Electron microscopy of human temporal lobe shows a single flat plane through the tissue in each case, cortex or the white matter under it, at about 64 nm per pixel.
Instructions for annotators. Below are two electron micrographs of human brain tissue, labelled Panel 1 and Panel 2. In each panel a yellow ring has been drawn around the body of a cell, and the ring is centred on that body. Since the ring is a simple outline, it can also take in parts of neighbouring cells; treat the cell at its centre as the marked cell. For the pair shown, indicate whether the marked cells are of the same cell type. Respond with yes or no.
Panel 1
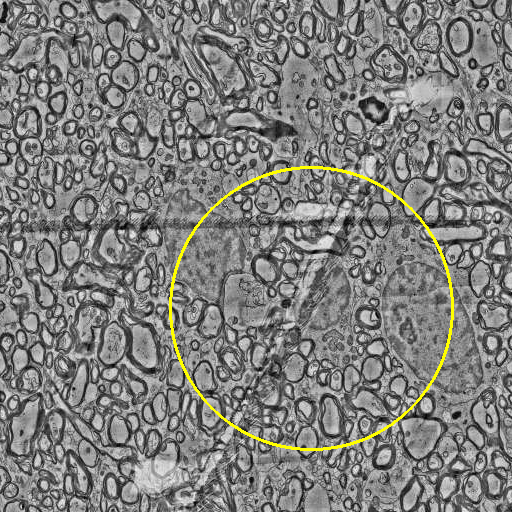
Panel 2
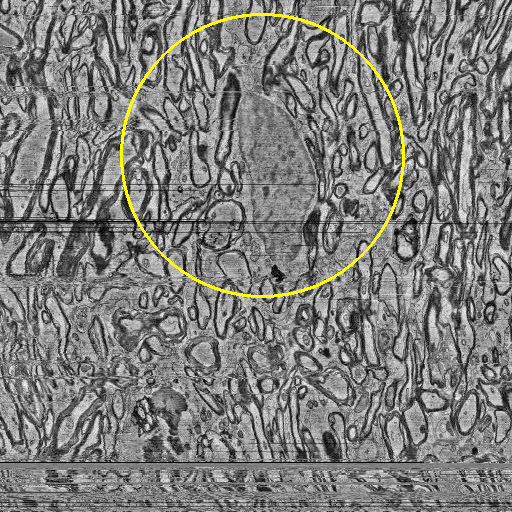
yes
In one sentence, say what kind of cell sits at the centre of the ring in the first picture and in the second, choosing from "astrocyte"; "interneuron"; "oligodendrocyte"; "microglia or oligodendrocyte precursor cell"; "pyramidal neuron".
The second cell is an oligodendrocyte, just as the first is.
